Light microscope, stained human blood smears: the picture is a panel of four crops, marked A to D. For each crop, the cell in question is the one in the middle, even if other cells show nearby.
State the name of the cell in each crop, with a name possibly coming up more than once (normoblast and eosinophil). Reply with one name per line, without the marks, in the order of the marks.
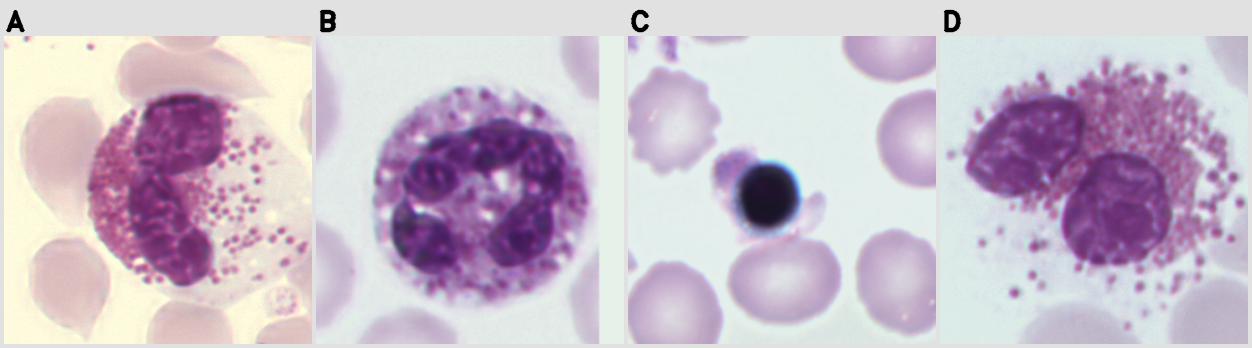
eosinophil
eosinophil
normoblast
eosinophil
